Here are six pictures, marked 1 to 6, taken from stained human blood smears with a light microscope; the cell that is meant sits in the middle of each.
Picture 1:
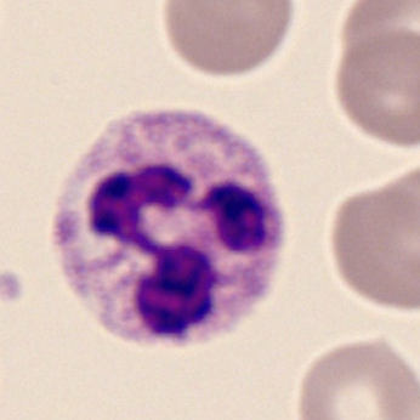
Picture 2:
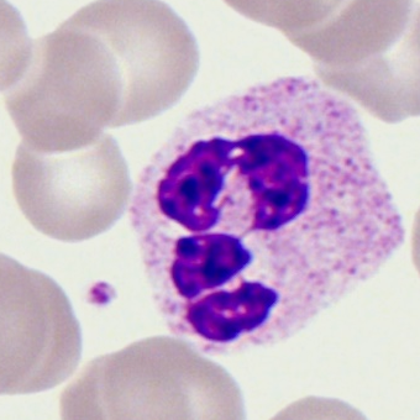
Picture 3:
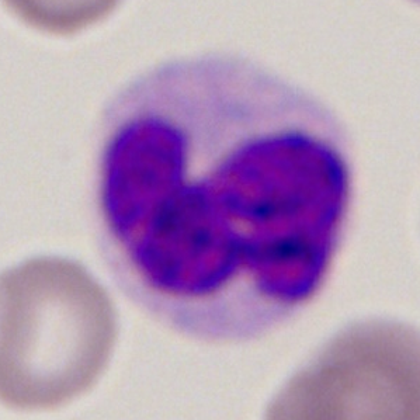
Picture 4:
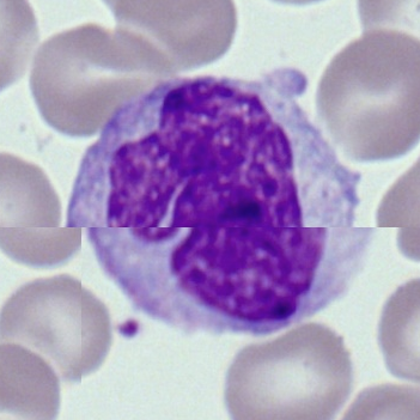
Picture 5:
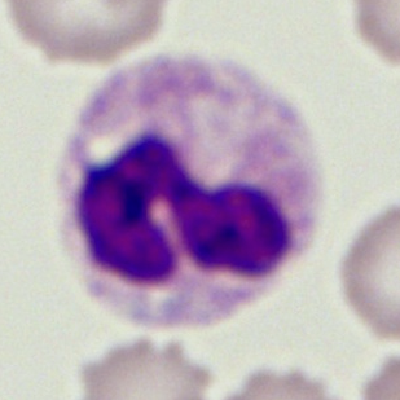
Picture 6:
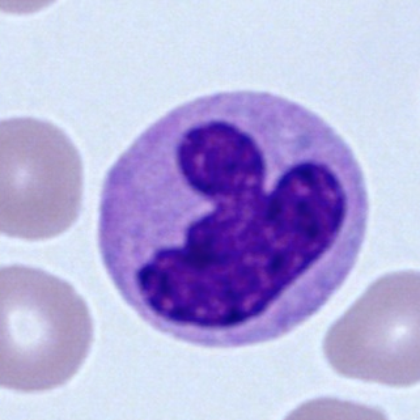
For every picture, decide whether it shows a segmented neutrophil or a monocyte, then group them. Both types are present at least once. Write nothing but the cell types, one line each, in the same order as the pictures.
segmented neutrophil
segmented neutrophil
monocyte
monocyte
segmented neutrophil
monocyte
